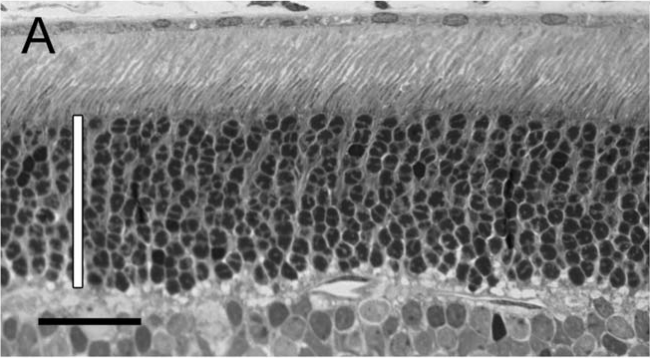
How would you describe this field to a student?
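A thick layer of many rows of small, round, darkly stained nuclei packed tightly together forms the middle of the section, with a broad band of fine, parallel, obliquely running striations lying on its outer side. These are rod photoreceptors: the dark nuclei make up the outer nuclear layer and the striated band is their well-organized outer and inner segments. Beneath a thin pale band lie larger, paler, more loosely spaced nuclei of the next cell layer.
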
